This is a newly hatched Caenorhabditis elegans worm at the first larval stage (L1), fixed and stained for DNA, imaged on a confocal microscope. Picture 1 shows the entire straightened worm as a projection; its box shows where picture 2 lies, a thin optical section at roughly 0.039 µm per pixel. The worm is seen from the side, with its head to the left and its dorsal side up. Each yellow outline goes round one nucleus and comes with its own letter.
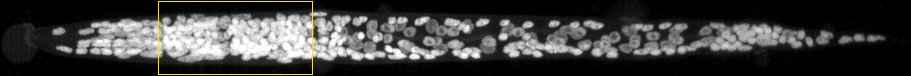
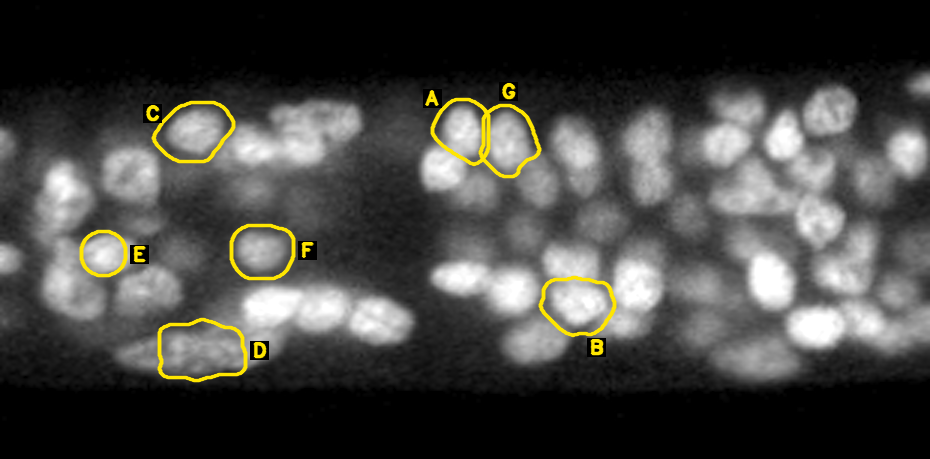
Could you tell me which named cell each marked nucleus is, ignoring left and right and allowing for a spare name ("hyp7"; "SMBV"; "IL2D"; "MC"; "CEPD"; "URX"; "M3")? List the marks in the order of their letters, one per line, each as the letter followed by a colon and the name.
A: CEPD
B: SMBV
C: IL2D
D: hyp7
E: MC
F: M3
G: URX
